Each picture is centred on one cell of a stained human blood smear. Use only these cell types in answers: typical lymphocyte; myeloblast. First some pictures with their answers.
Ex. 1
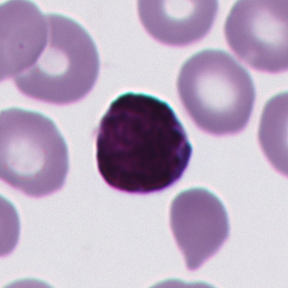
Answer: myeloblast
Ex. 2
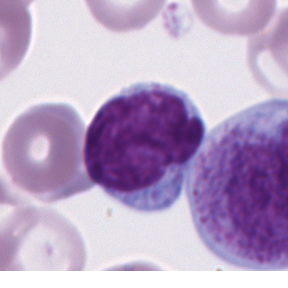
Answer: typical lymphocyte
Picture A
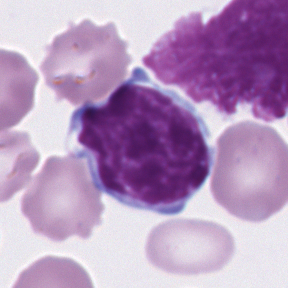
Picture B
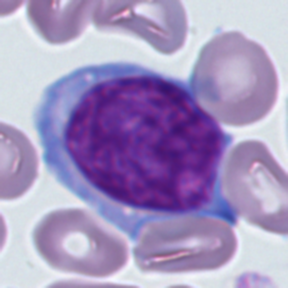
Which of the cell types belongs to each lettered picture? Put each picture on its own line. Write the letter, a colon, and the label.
A: typical lymphocyte
B: myeloblast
